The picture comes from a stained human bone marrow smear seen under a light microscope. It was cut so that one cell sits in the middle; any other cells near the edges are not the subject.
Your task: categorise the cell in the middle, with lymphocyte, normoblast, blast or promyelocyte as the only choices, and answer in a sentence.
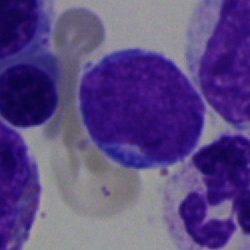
Classification of the middle cell gives a lymphocyte.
